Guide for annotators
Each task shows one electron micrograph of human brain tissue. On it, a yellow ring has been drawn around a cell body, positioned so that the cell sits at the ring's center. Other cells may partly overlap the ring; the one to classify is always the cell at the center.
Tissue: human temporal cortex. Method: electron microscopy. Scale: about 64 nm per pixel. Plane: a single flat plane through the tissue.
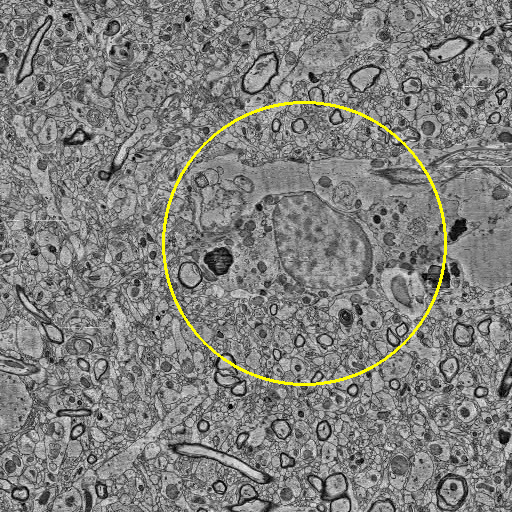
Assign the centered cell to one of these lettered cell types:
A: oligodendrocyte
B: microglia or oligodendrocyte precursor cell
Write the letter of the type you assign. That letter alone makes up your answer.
A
